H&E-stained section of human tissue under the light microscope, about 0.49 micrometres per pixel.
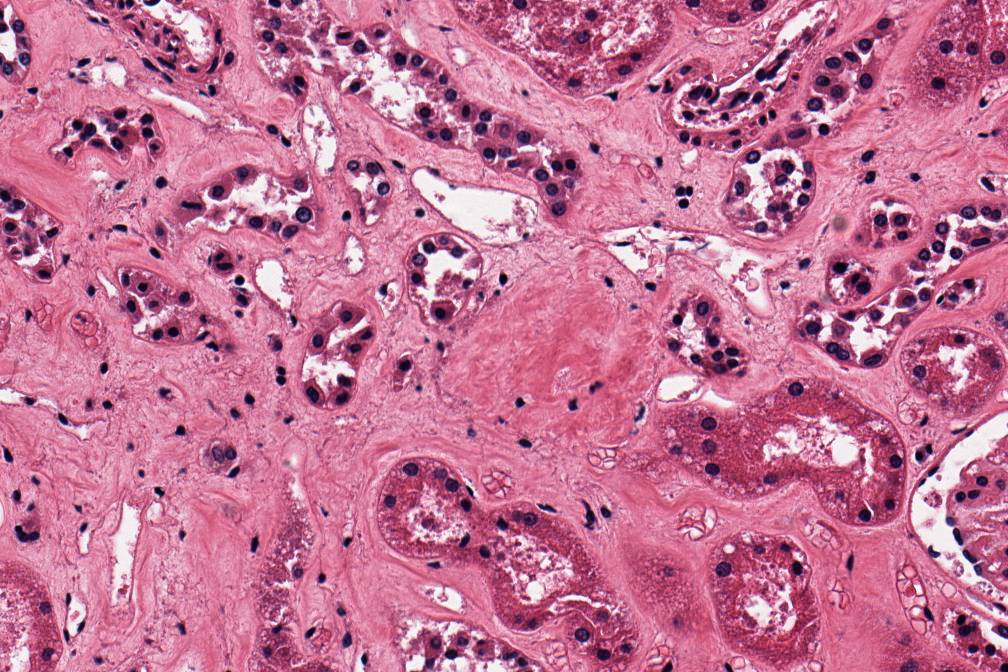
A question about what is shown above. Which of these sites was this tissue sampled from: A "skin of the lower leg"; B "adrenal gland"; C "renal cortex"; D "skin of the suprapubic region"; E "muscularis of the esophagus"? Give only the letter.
C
